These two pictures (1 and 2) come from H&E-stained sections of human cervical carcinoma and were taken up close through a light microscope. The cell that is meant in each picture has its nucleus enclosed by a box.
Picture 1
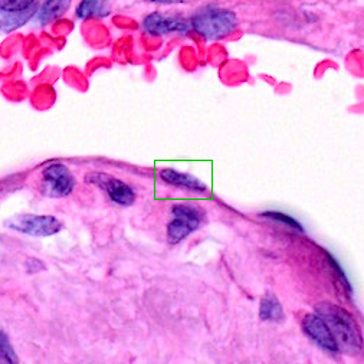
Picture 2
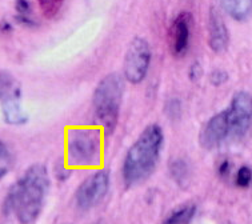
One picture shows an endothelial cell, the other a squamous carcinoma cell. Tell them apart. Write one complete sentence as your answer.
It is picture 1 that shows an endothelial cell, and picture 2 that shows a squamous carcinoma cell.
